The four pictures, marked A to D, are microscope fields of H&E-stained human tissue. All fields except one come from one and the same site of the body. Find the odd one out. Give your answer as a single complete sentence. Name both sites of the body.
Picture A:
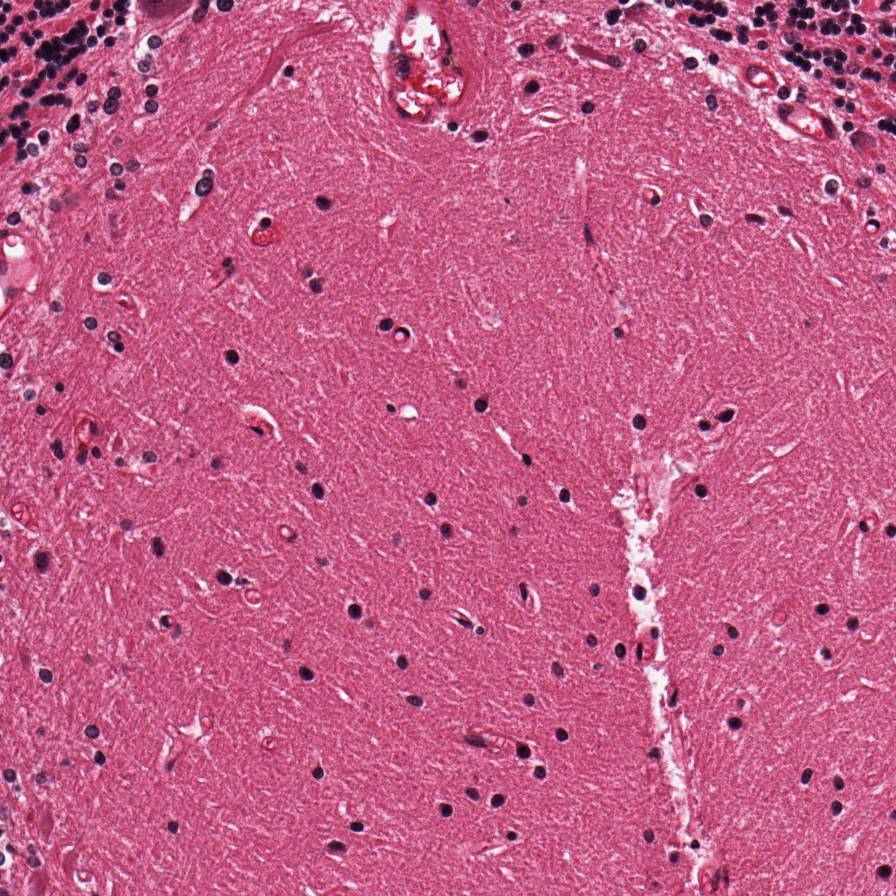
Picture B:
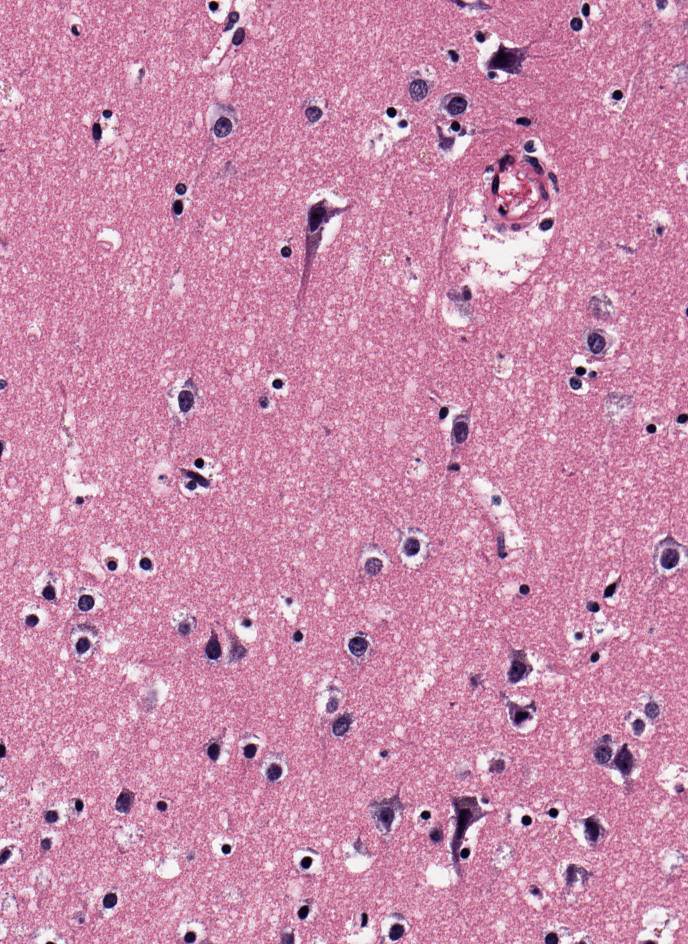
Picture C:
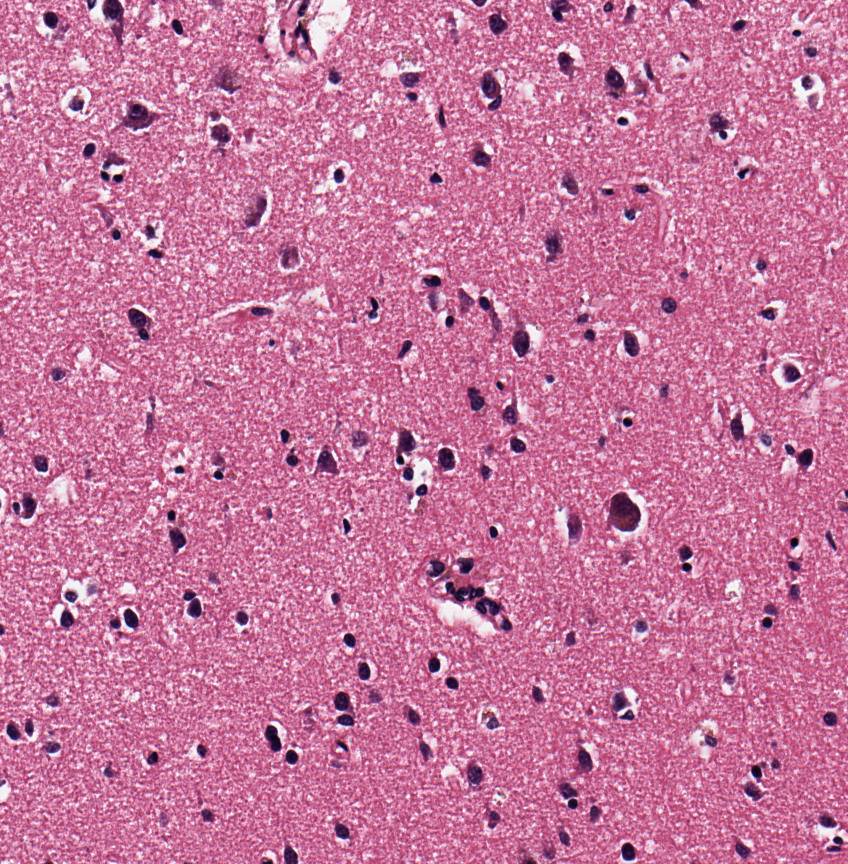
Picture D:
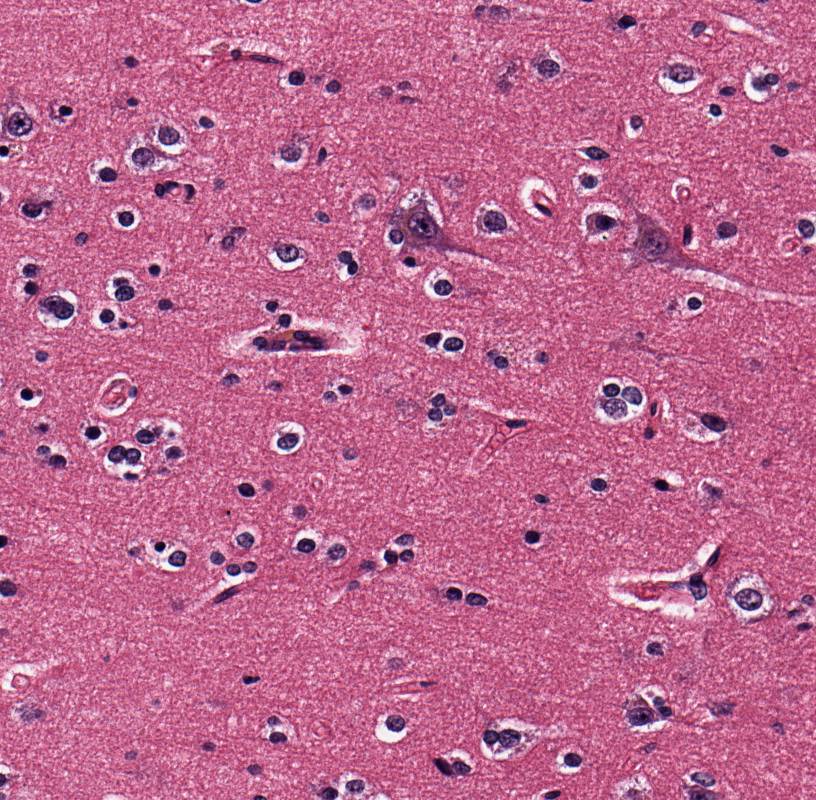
The others come from the cerebral cortex, but picture A comes from the cerebellum.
